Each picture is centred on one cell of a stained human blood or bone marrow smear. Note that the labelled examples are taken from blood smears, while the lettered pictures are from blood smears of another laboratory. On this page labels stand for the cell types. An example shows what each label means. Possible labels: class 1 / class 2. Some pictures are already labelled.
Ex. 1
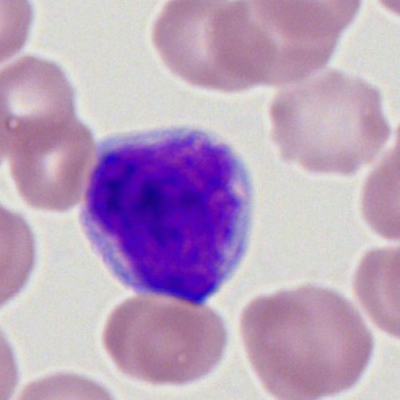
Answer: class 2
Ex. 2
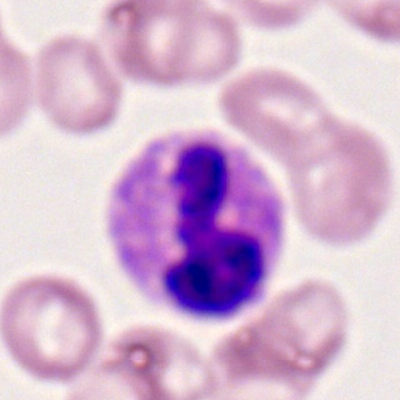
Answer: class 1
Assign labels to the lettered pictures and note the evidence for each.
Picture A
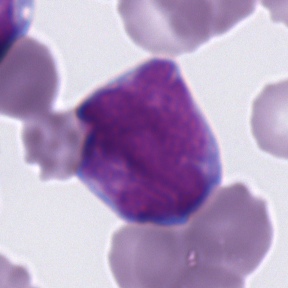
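class 2. Evidence: The cytoplasm forms only a thin rim around the nucleus.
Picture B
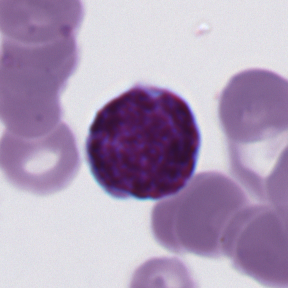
class 2. Evidence: The cytoplasm shows only as a very thin rim around the nucleus.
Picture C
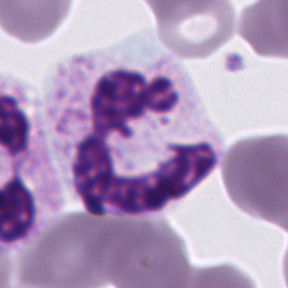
class 1. Evidence: The cytoplasm is plentiful and pale pinkish-lilac.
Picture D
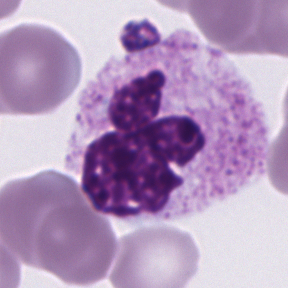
class 1. Evidence: The cytoplasm is abundant and pale pinkish-lilac.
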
